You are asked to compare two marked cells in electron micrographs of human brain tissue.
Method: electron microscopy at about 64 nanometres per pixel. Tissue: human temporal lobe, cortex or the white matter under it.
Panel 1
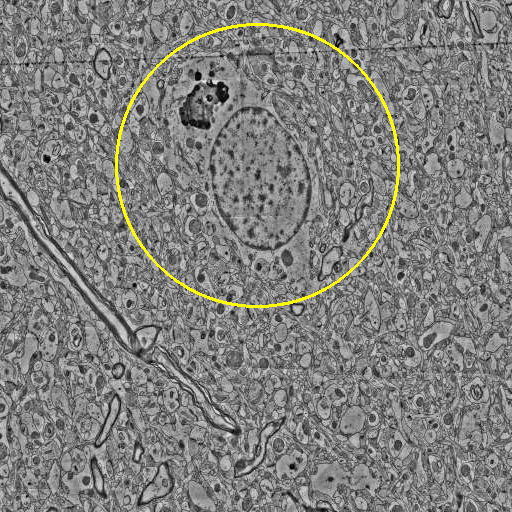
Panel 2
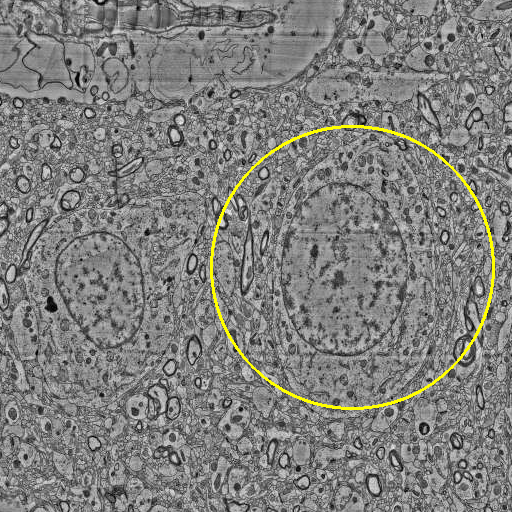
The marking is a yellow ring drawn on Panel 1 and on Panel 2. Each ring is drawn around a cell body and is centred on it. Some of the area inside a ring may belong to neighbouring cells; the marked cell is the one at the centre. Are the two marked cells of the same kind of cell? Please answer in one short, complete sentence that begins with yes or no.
No, the two marked cells are of two kinds.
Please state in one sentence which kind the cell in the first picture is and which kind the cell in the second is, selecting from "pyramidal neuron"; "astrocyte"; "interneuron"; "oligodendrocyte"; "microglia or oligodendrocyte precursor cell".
The first ringed cell is an astrocyte, the second ringed cell an interneuron.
